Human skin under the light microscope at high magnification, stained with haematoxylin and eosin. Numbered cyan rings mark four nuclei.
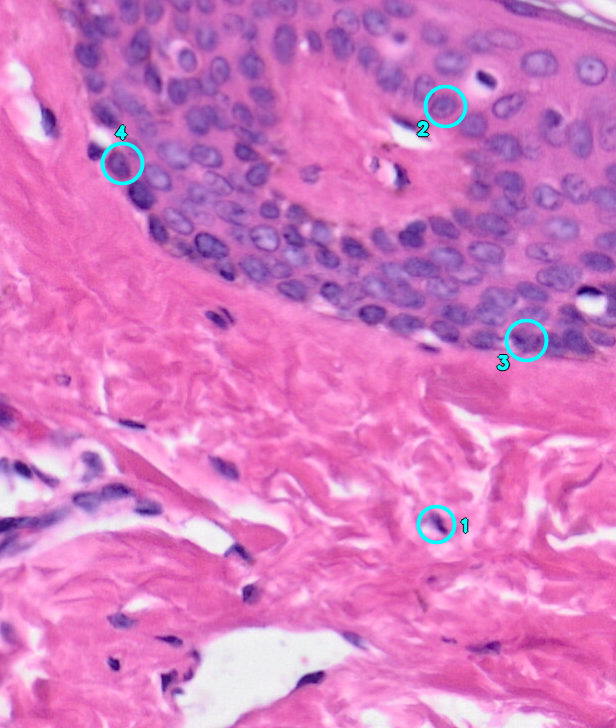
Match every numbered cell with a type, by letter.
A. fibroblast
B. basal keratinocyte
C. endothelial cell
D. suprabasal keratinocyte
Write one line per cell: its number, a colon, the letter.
1: A
2: B
3: B
4: B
